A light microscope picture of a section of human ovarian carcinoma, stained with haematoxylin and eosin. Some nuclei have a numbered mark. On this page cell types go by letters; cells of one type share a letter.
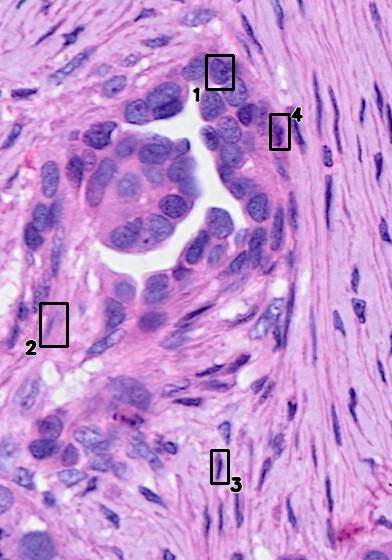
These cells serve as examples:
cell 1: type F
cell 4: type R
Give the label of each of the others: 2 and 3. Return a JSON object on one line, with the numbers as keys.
{"2": "type R", "3": "type R"}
